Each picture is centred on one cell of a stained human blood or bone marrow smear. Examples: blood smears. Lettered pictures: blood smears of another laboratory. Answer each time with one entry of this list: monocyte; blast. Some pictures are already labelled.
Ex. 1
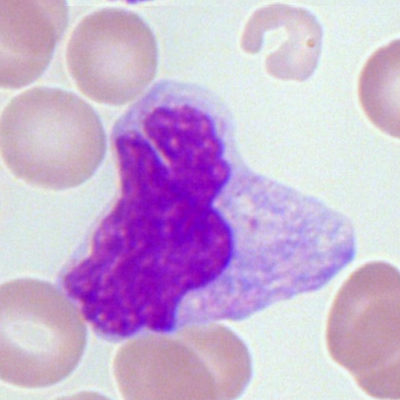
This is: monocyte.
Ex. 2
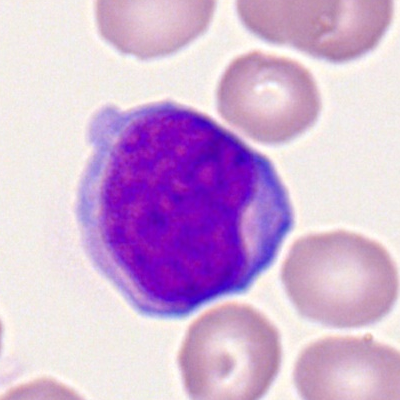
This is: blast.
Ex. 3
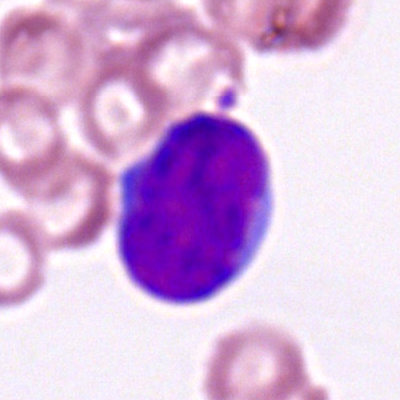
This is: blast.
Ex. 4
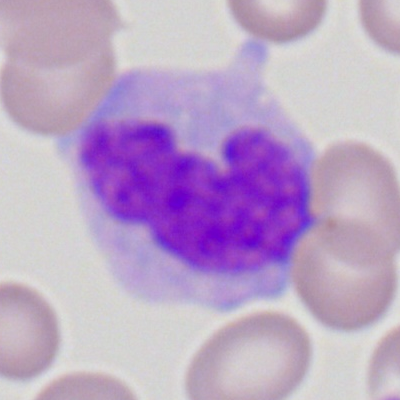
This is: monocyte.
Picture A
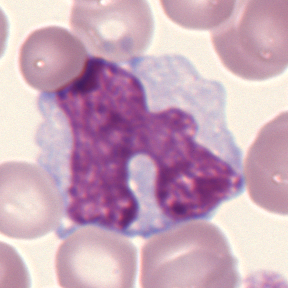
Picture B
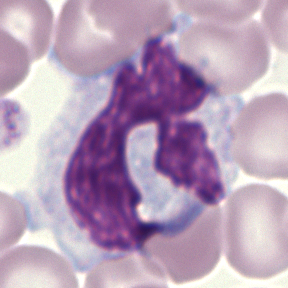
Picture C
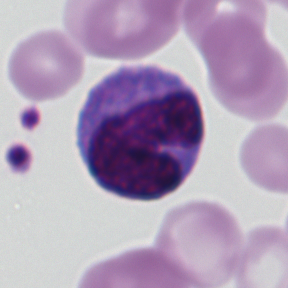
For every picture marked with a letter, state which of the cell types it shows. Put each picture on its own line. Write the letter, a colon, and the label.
A: monocyte.
B: monocyte.
C: monocyte.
